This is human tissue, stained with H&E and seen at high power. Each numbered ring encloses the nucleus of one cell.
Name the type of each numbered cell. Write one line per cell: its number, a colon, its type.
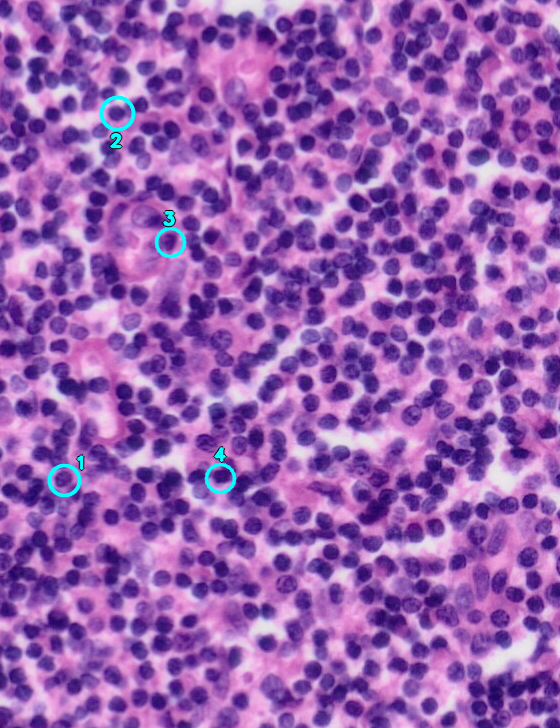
1: small lymphocyte
2: small lymphocyte
3: endothelial cell
4: small lymphocyte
